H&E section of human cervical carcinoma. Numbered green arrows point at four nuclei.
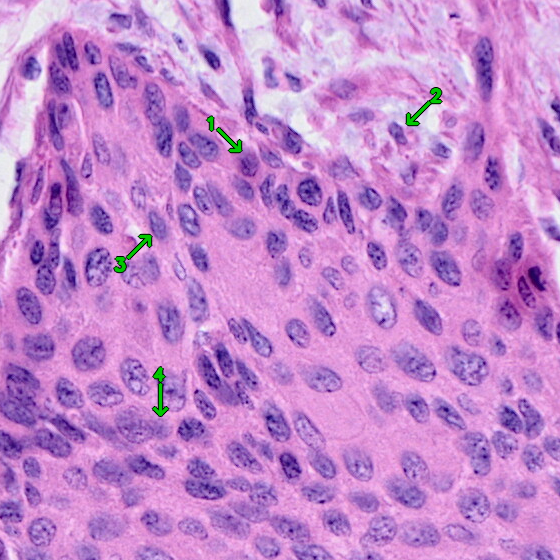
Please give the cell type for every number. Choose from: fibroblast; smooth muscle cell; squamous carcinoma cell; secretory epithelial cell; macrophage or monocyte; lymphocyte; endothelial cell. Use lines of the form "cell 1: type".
cell 1: squamous carcinoma cell
cell 2: fibroblast
cell 3: squamous carcinoma cell
cell 4: squamous carcinoma cell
